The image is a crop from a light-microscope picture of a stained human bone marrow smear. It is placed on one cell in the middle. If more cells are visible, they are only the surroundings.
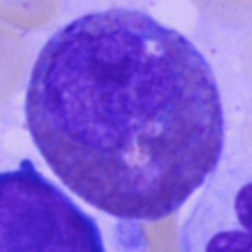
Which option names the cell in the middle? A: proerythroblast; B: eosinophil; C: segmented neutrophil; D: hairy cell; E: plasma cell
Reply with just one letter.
B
